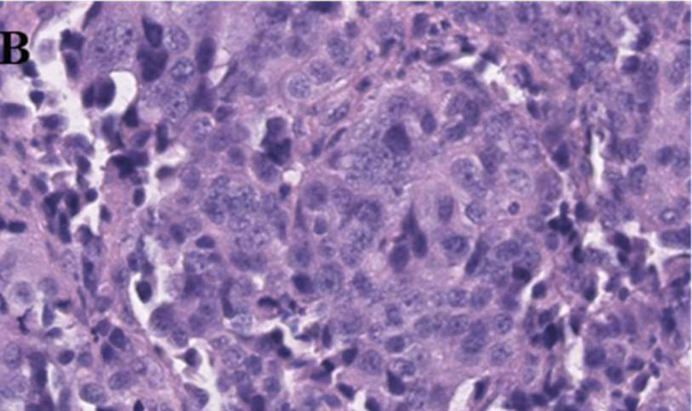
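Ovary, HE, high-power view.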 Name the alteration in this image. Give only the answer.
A: Poorly differentiated carcinoma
